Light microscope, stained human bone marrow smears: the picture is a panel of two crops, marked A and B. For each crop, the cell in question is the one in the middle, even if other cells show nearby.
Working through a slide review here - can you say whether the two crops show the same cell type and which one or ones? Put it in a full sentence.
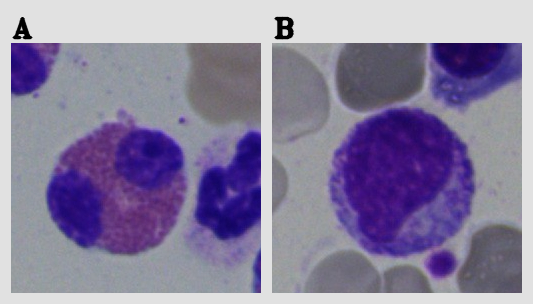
No, the cell that crop A shows is an eosinophil, and the one crop B shows is a myelocyte.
